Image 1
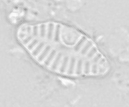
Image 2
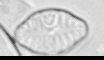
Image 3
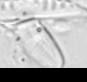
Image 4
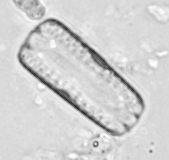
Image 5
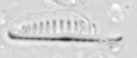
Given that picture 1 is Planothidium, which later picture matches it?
2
